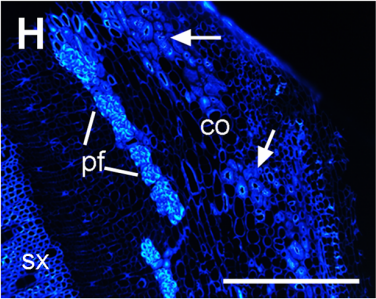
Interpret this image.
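This cross section of a woody stem shows the radial files of secondary xylem at one side, then bundles of tightly packed phloem fibers with thick bright blue walls, and beyond them the cortex of thin-walled cells. Within the cortex, well away from the fiber bundles, small groups of cells have unusually thick, brightly fluorescent walls, standing out against their dim, thin-walled neighbours.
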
